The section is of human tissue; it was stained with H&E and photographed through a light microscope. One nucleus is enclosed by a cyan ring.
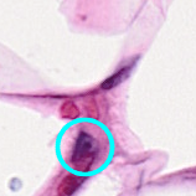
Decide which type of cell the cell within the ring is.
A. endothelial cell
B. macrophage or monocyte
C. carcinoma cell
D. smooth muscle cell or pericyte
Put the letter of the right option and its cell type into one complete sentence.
It is correct to say that the cell within the ring is an endothelial cell, as option A does.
